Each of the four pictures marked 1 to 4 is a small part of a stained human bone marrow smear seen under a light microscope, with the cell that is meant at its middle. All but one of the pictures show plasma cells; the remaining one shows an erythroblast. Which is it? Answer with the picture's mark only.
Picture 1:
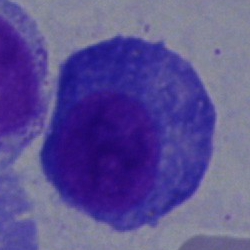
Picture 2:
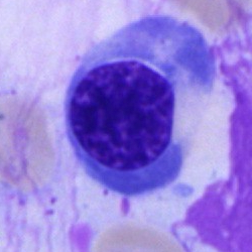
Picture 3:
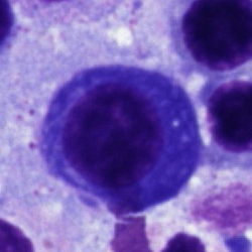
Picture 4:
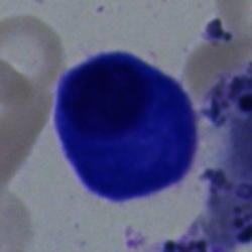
2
